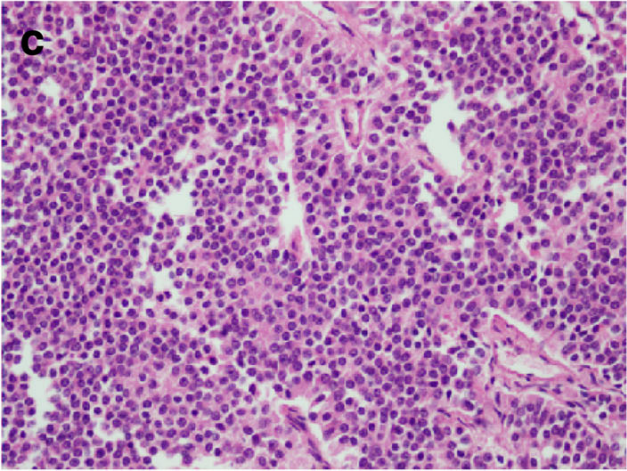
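Neoplastic cells of a mass lie in diffuse sheets and nests. The cells are small to medium, closely packed and fairly uniform, with round, dark purple nuclei and scant pale pink cytoplasm. Nuclei are evenly spaced with little variation in size or shape. Small clefts and empty spaces open between the sheets.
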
